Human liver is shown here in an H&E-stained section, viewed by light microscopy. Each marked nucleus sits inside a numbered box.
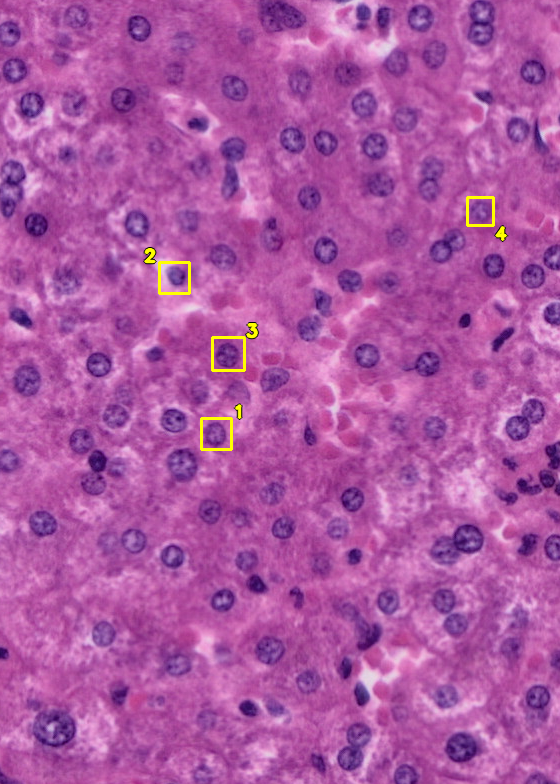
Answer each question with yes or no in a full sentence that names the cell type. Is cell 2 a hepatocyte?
No, it is a lymphocyte that is marked with number 2, not a hepatocyte.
